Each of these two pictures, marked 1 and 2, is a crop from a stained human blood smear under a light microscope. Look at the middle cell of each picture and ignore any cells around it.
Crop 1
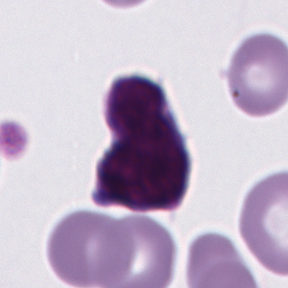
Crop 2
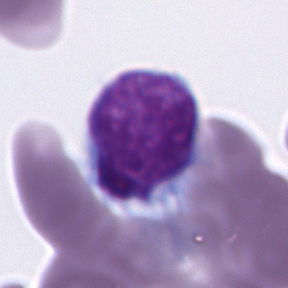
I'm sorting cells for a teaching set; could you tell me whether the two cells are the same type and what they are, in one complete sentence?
No, crop 1 and crop 2 contain, respectively, a blast and a hairy cell.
